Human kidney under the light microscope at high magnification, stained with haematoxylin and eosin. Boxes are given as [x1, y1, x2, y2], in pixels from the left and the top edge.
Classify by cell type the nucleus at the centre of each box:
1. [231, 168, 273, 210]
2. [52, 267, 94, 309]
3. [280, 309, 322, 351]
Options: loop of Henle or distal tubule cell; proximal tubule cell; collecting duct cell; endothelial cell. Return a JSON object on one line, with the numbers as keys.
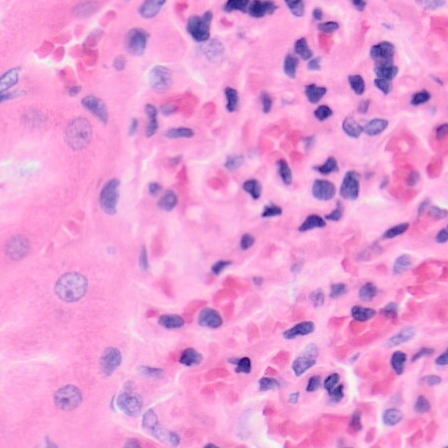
{"1": "endothelial cell", "2": "proximal tubule cell", "3": "endothelial cell"}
